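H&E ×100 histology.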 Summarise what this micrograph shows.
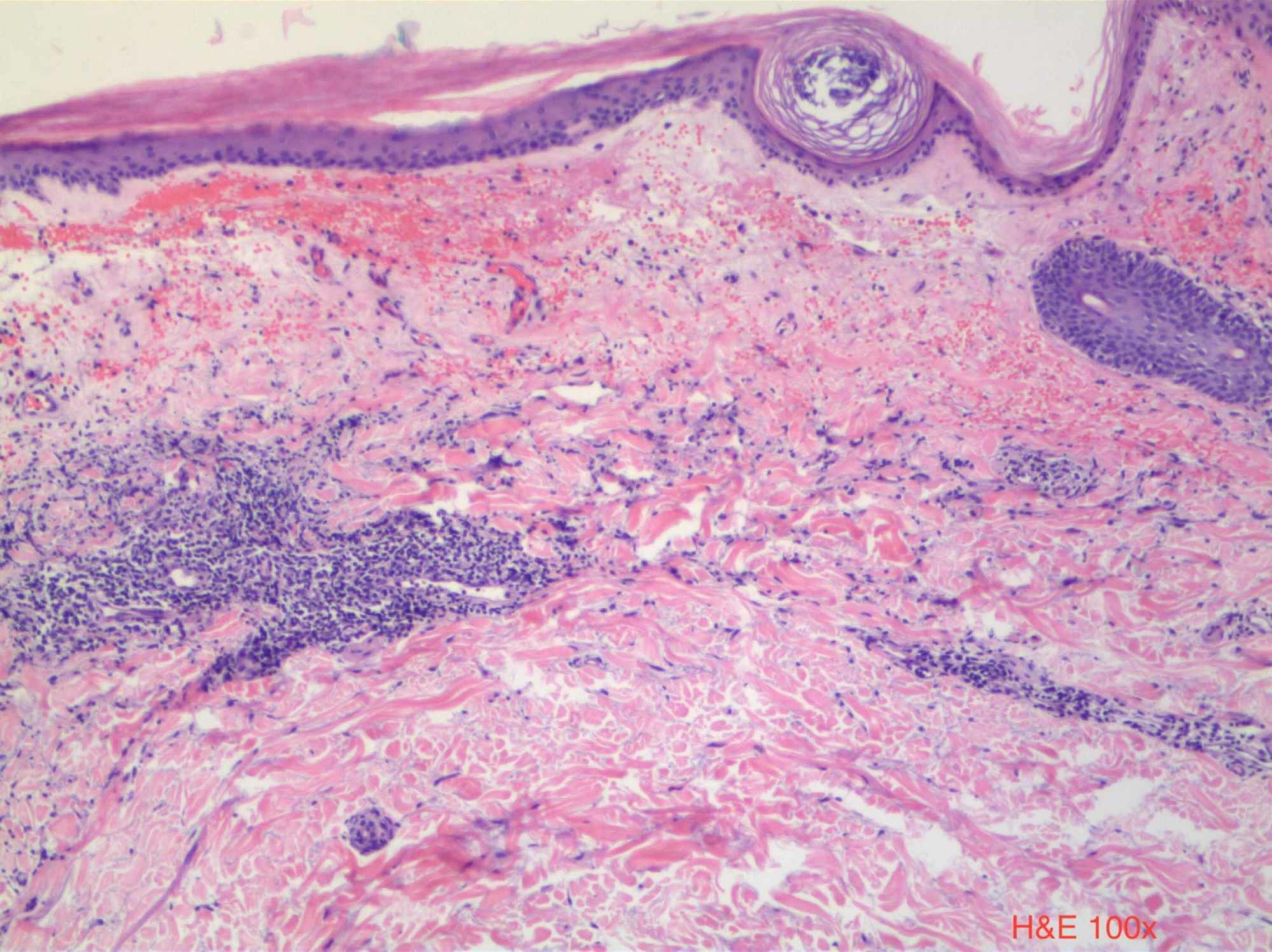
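This is skin in section, with a thin epidermis of only a few cell layers under a thick, layered pink keratin layer, and a follicular opening plugged by laminated keratin. The upper dermis beneath it is pale, loose and smudged, with many free red blood cells spilled into it. Deeper in the dermis, dense bands of small round dark-nucleated lymphocytes run among the pink collagen bundles, and a hair follicle is cut across at the right.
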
